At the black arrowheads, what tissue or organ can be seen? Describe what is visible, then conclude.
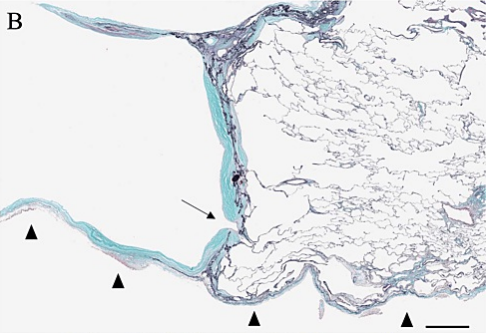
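A thin membrane stained green and dark runs along the outer surface of the tissue. It covers the spongy lung parenchyma.
Pleura.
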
